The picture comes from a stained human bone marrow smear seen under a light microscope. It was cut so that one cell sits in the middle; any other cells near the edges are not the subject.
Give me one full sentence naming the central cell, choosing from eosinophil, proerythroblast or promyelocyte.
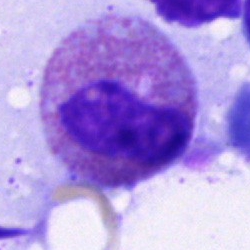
In the central position of this crop, the cell is an eosinophil.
